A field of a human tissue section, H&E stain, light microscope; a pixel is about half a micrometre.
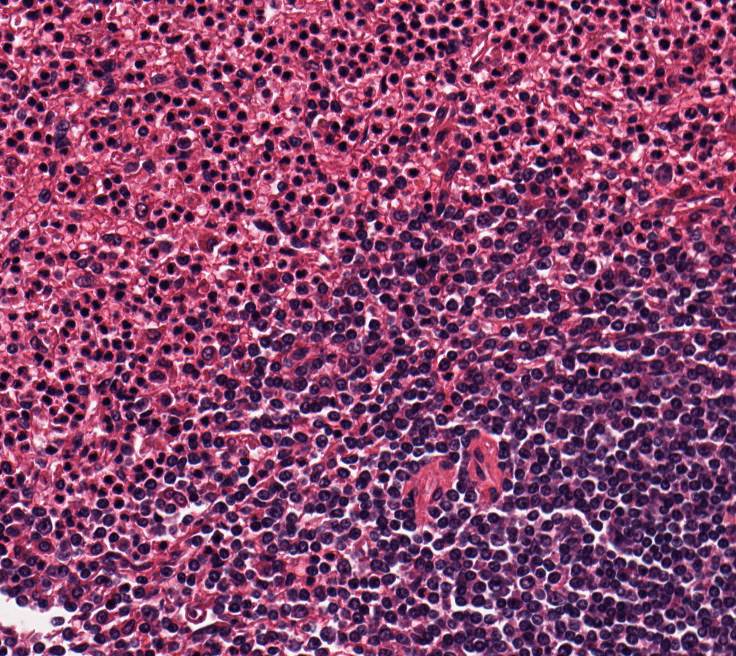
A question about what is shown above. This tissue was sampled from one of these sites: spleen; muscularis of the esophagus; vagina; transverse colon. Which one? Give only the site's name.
spleen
